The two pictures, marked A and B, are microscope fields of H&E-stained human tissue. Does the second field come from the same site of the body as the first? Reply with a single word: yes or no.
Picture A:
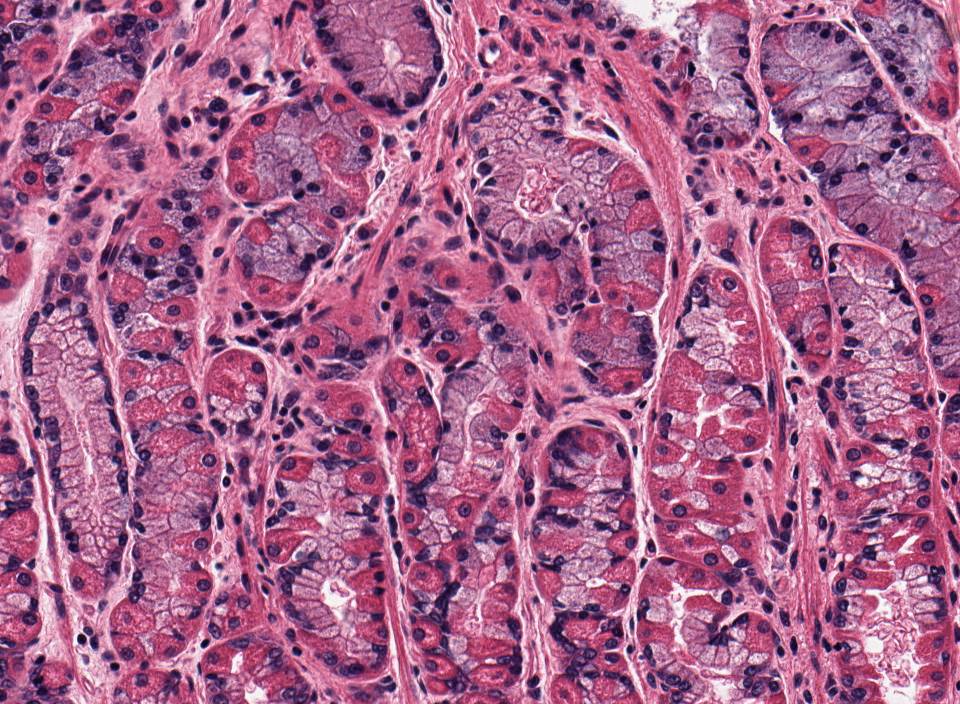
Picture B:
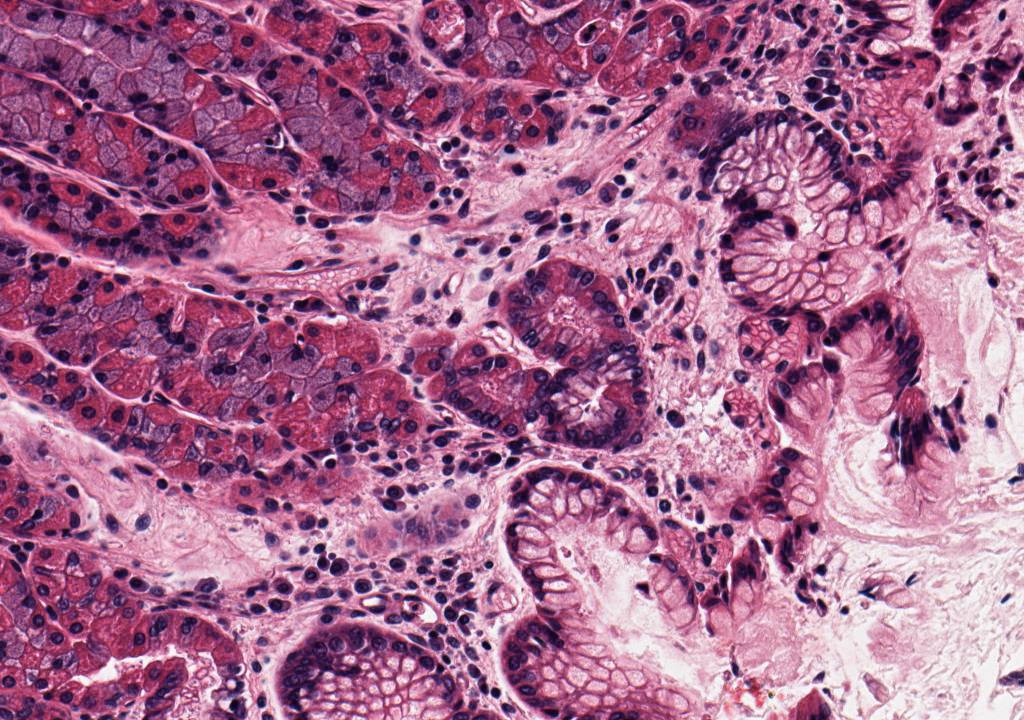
yes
